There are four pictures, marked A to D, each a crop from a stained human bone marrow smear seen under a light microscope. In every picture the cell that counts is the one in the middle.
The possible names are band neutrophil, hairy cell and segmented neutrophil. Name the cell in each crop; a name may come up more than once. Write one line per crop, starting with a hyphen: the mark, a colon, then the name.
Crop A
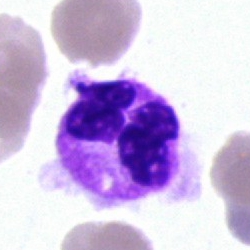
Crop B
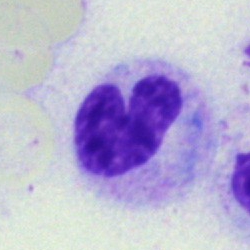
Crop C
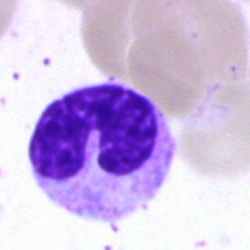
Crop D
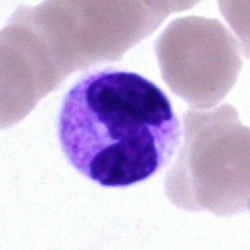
- A: segmented neutrophil
- B: band neutrophil
- C: band neutrophil
- D: segmented neutrophil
